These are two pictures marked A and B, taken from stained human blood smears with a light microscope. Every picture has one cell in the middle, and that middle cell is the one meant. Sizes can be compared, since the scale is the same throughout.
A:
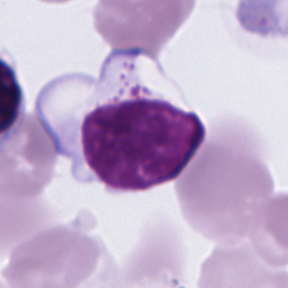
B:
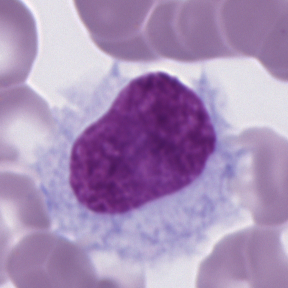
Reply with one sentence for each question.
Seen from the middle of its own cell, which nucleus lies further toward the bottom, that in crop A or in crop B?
Seen within its cell, the nucleus in crop A lies further toward the bottom.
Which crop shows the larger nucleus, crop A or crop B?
It is the nucleus in crop B, about 1.5 times as large in area as the one in crop A.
